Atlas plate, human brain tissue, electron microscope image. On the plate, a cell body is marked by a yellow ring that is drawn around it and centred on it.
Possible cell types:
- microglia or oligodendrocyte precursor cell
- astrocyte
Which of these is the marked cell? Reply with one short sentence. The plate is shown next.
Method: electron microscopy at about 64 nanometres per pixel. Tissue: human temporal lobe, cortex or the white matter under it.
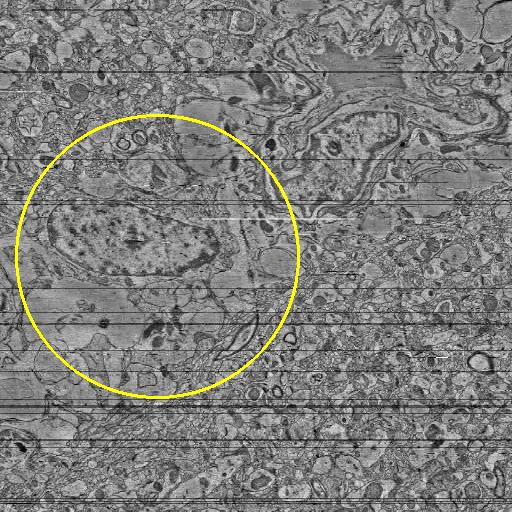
The marked cell is a microglial cell or oligodendrocyte precursor cell.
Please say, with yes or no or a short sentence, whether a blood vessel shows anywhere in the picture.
Yes, the image shows a blood vessel.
